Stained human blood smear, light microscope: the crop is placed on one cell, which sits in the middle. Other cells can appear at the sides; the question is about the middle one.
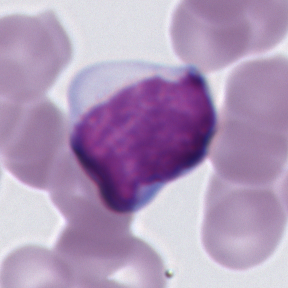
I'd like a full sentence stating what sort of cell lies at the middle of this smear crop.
The cell nearest the centre of this crop is a large granular lymphocyte.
